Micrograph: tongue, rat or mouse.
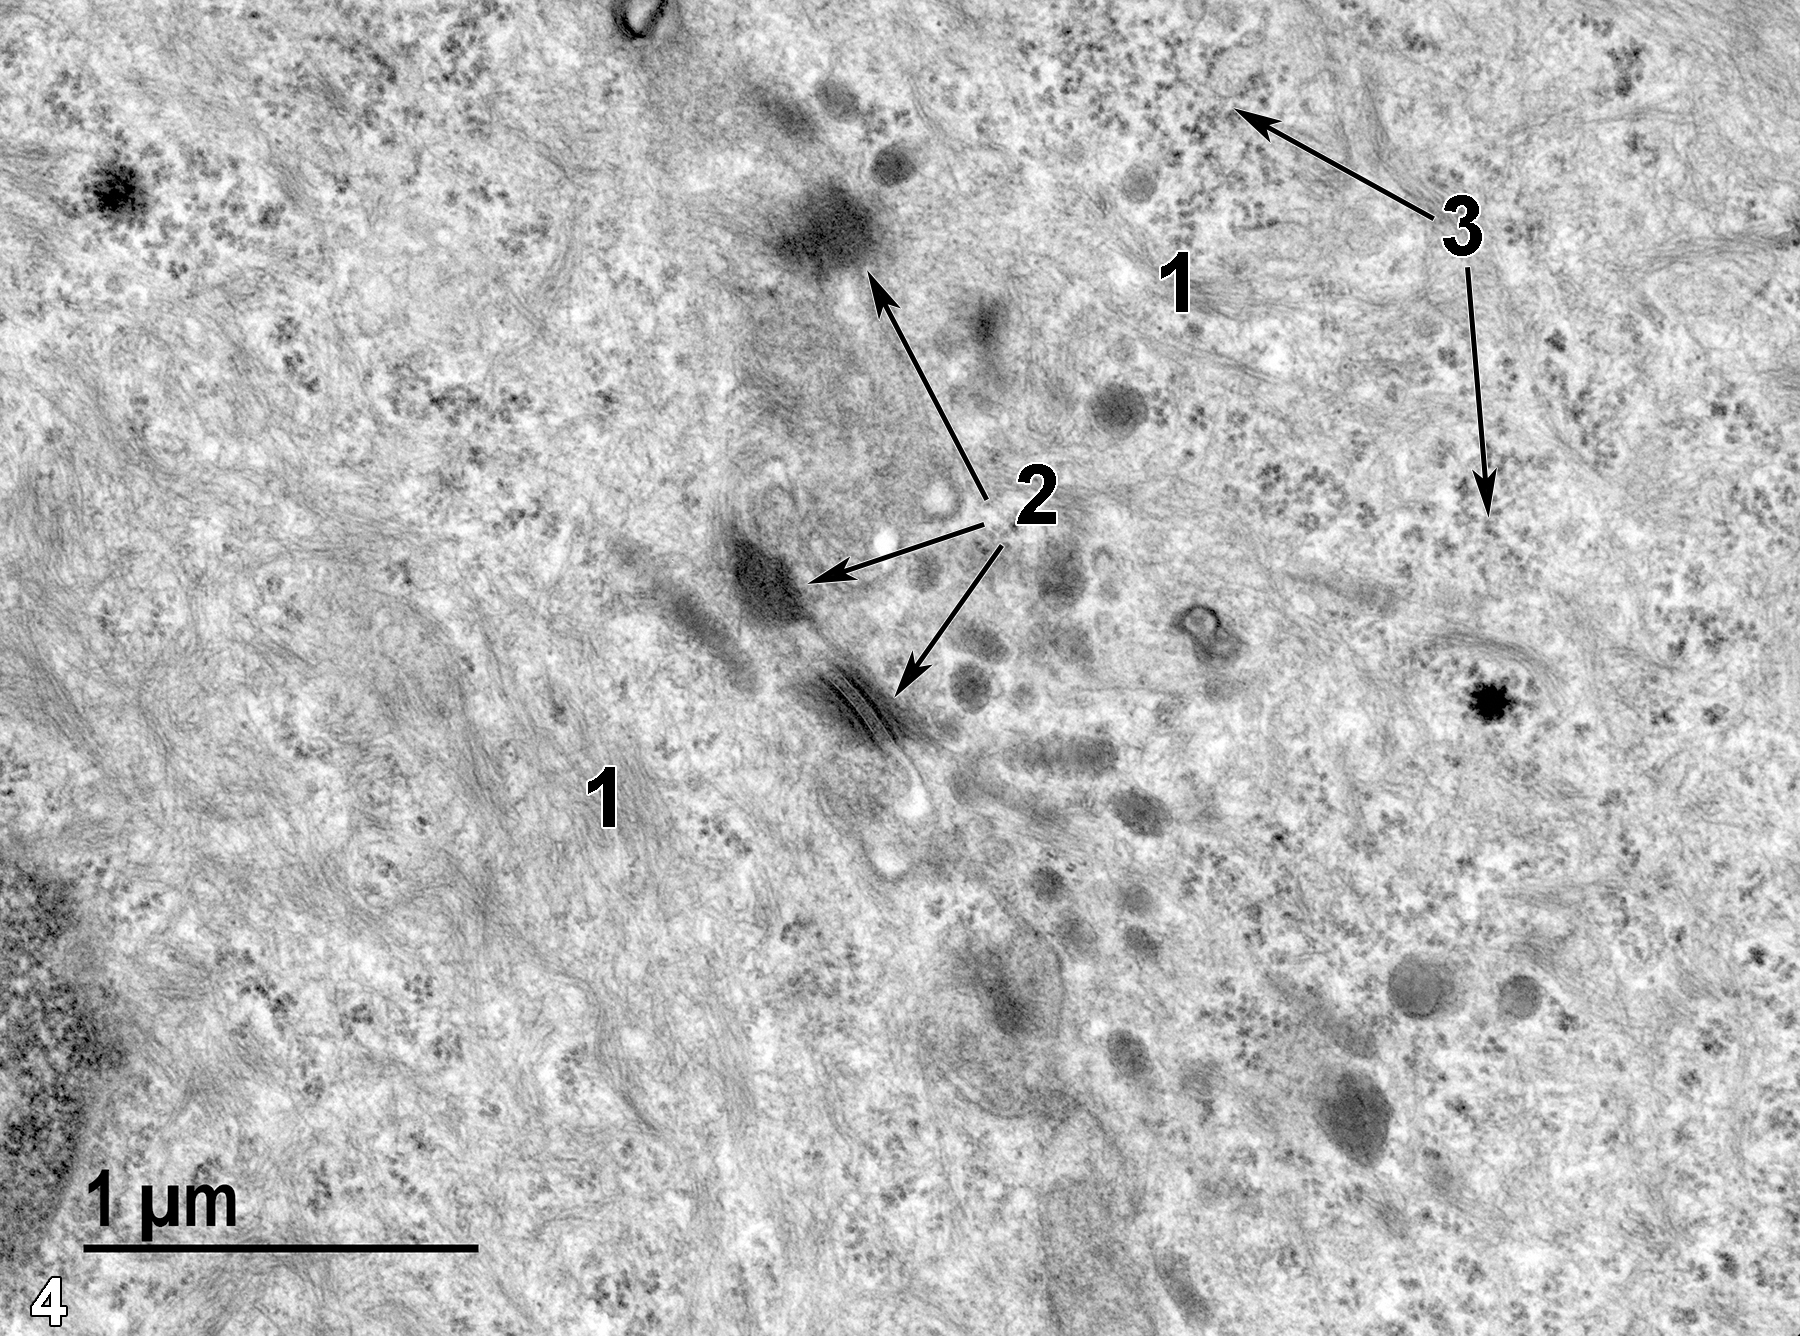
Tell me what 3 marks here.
3 marks the clusters of free ribosomes.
